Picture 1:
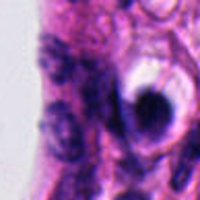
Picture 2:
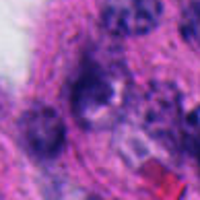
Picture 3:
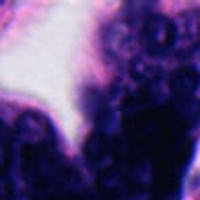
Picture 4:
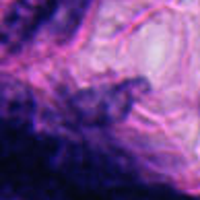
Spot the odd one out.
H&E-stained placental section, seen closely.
Picture 3 (a syncytial knot among cytotrophoblasts).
